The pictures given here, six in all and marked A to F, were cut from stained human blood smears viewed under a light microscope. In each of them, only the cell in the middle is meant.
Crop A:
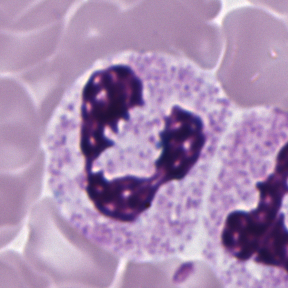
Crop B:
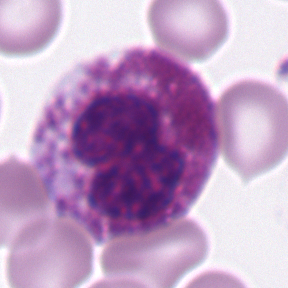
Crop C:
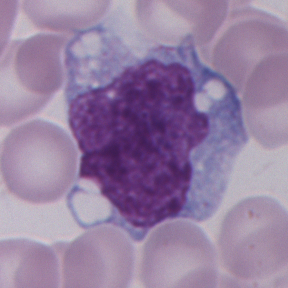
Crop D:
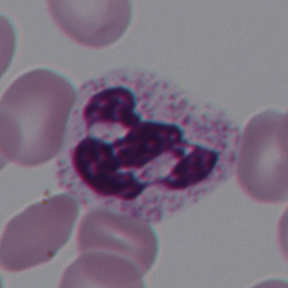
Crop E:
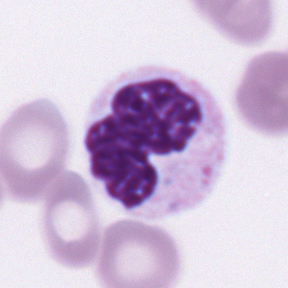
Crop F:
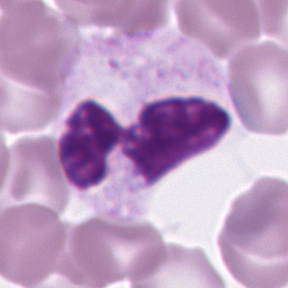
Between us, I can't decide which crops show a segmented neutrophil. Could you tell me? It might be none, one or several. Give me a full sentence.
Crops A, D, E and F feature segmented neutrophils as the cells at their centres.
